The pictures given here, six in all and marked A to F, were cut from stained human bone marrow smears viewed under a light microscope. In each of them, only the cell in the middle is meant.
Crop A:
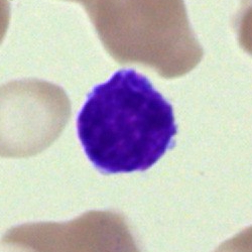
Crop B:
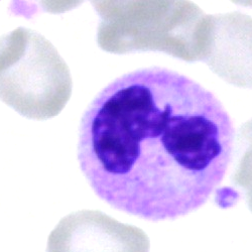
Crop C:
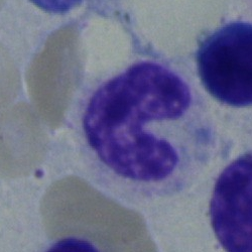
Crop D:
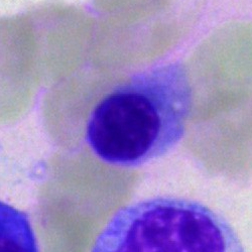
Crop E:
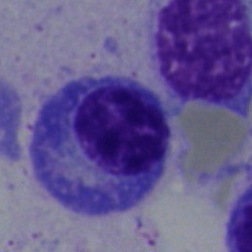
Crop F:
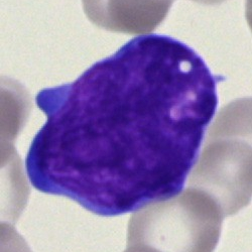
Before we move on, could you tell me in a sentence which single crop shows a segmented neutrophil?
Identified crop: B, the one that shows a segmented neutrophil.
